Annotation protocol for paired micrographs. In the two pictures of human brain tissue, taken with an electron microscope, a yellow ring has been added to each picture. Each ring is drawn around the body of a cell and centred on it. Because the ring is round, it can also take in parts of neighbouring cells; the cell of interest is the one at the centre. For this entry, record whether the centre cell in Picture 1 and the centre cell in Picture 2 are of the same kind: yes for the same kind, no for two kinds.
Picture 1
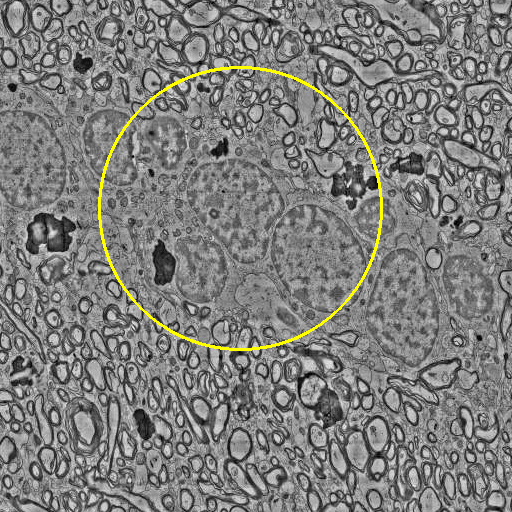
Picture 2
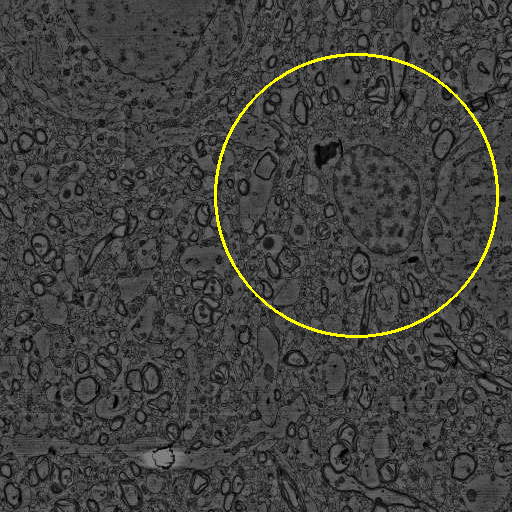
yes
